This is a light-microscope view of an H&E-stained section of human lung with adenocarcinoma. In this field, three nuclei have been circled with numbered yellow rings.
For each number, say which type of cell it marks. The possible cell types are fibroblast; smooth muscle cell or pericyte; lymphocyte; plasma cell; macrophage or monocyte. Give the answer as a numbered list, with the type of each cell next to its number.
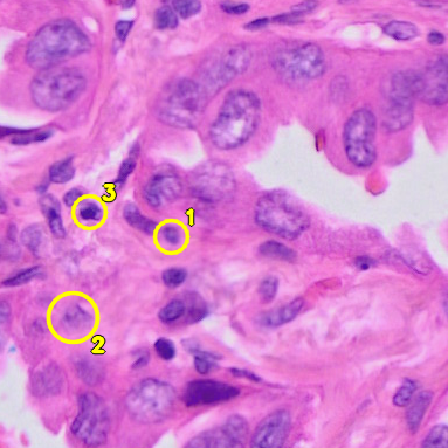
1. lymphocyte
2. fibroblast
3. lymphocyte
